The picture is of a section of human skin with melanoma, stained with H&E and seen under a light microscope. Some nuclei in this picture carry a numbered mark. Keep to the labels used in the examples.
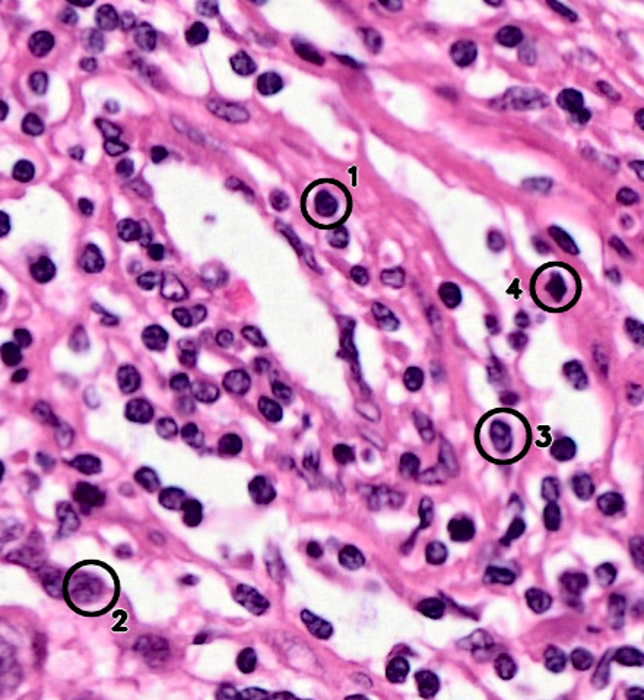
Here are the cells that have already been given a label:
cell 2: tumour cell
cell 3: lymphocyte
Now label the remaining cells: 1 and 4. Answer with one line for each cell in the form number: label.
1: lymphocyte
4: lymphocyte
